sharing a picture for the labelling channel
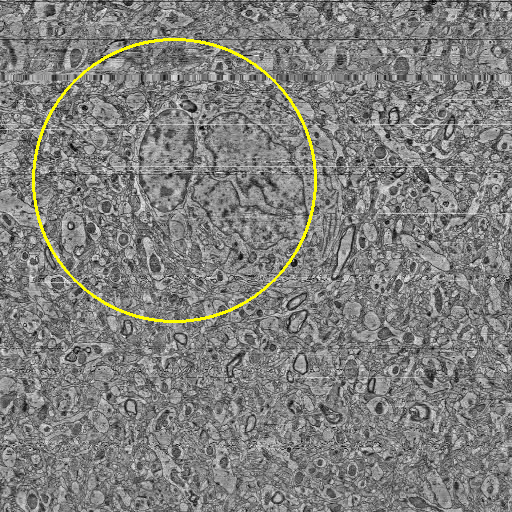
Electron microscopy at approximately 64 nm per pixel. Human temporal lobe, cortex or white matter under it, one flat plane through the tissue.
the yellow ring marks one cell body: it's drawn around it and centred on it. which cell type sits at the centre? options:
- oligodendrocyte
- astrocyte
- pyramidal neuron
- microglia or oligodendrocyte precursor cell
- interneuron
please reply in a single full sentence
In the picture, the cell at the ring's centre is a microglial cell or oligodendrocyte precursor cell, going by the list.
